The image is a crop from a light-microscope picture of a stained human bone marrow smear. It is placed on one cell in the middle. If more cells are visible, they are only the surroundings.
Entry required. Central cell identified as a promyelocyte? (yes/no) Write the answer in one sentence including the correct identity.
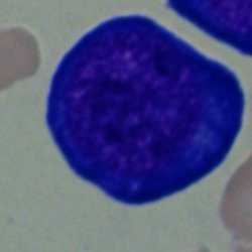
No, the cell sitting in the centre of the crop is a proerythroblast, not a promyelocyte.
